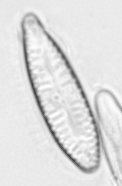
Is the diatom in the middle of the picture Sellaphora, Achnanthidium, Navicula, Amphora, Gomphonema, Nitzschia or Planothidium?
It is Gomphonema.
